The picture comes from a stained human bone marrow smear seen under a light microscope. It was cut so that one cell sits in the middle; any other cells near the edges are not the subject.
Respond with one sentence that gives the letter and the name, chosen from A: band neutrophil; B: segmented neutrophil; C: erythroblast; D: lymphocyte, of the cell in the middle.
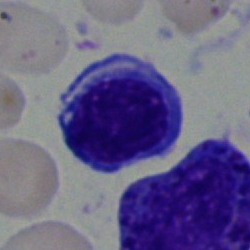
The centrally located cell is an erythroblast, making option C the correct choice.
